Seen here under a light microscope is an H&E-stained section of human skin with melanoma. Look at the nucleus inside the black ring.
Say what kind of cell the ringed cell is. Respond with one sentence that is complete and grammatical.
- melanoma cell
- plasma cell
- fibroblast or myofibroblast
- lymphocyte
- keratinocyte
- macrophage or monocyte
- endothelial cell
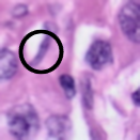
In terms of identity, the ringed cell is an endothelial cell.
